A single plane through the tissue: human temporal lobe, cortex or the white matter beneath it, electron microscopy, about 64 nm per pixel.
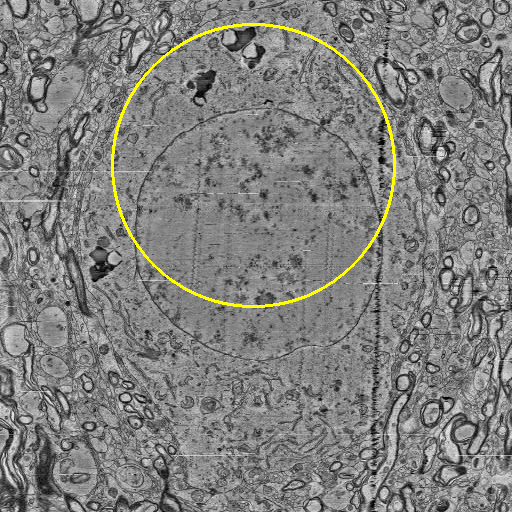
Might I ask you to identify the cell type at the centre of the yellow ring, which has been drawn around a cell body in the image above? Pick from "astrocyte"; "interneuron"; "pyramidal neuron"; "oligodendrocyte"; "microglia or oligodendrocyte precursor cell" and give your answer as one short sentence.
The centre of the ring falls on a pyramidal neuron.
